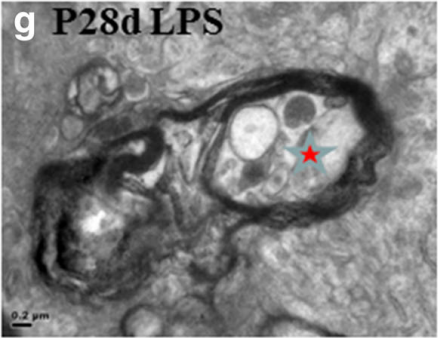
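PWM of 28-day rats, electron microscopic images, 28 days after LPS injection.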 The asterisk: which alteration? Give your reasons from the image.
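Disrupted axon. A fibre profile with an irregular, thickened dark myelin wrapping. The enclosed axoplasm contains vacuoles and dense bodies instead of a uniform interior.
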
